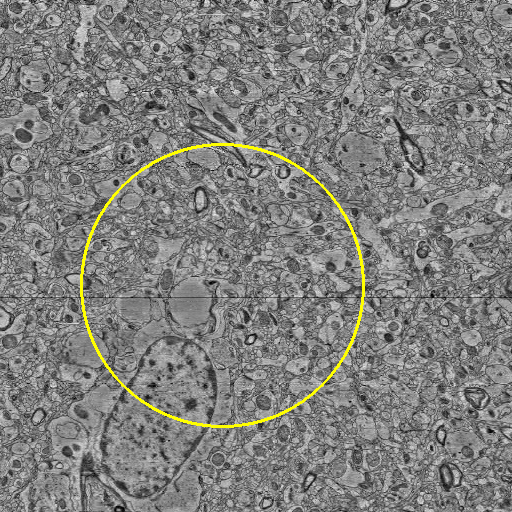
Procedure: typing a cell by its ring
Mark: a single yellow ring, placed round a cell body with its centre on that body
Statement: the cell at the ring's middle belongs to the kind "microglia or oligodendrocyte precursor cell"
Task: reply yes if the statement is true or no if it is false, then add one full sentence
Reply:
Yes, this is true: the cell at the ring's centre in the picture belongs to that kind.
